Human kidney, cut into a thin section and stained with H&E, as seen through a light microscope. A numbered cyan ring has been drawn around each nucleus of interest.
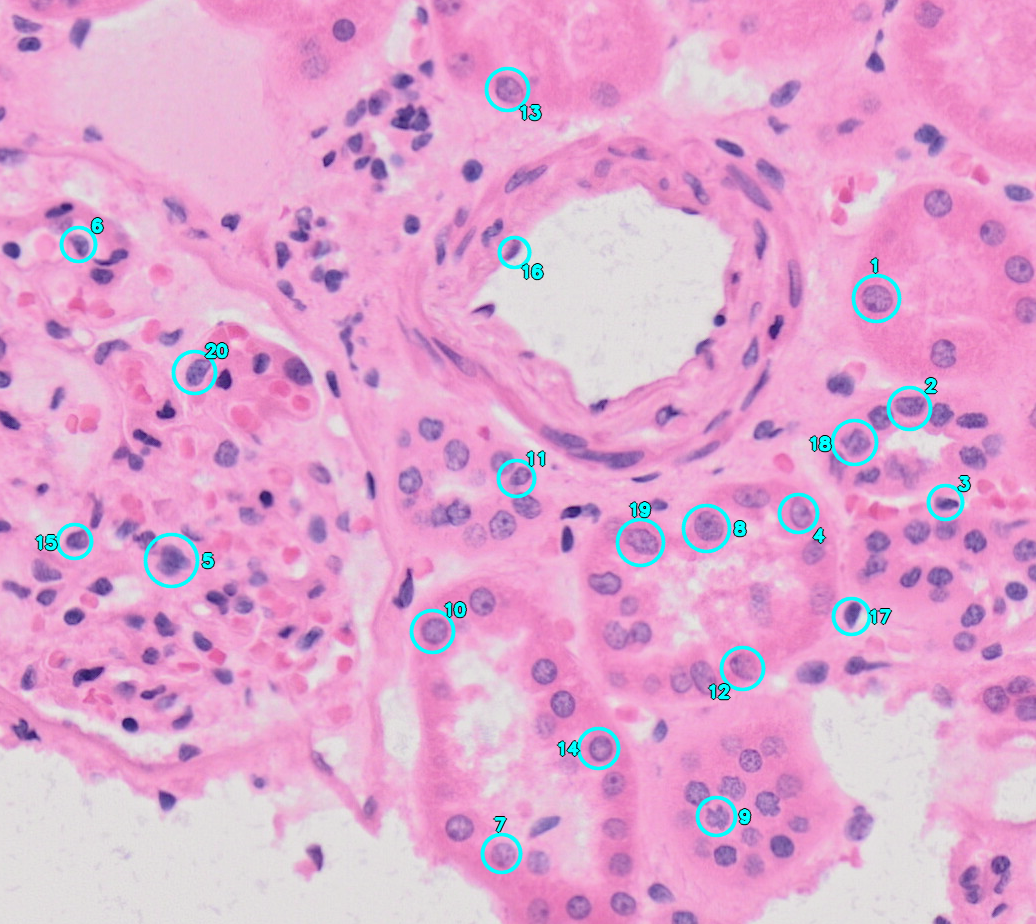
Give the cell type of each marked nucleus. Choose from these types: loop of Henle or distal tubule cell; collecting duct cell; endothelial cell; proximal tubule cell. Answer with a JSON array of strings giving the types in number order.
["proximal tubule cell", "collecting duct cell", "endothelial cell", "proximal tubule cell", "endothelial cell", "endothelial cell", "proximal tubule cell", "proximal tubule cell", "loop of Henle or distal tubule cell", "proximal tubule cell", "collecting duct cell", "proximal tubule cell", "proximal tubule cell", "proximal tubule cell", "endothelial cell", "endothelial cell", "endothelial cell", "collecting duct cell", "proximal tubule cell", "endothelial cell"]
